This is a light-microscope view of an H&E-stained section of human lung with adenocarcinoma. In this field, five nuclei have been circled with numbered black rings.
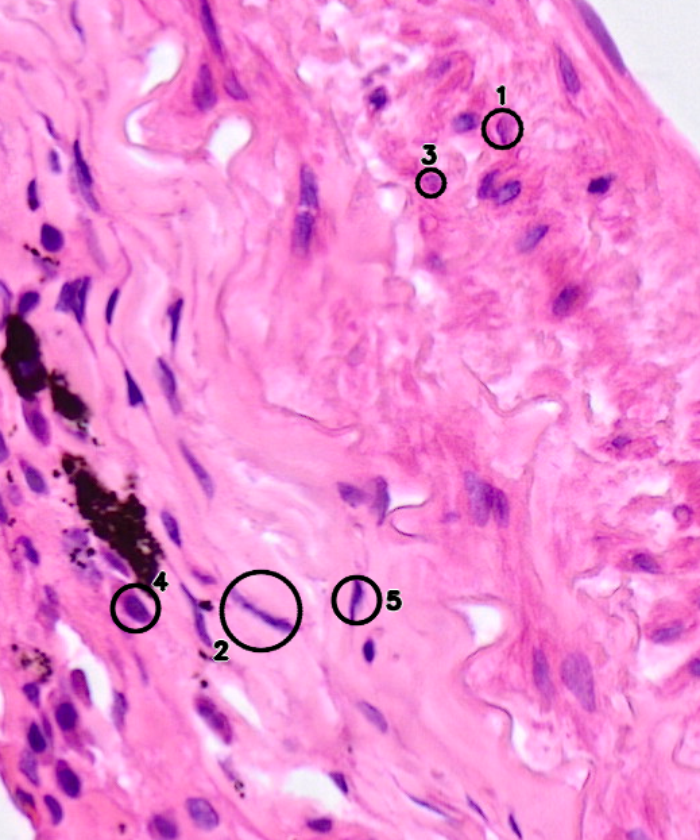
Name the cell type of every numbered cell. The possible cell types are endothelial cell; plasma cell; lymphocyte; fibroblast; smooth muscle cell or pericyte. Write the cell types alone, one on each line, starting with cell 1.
smooth muscle cell or pericyte
fibroblast
smooth muscle cell or pericyte
plasma cell
fibroblast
